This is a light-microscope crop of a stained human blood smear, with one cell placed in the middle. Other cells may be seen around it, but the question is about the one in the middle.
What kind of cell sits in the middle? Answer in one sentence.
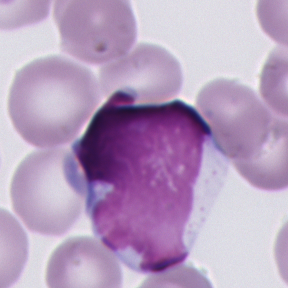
The cell that lies at the centre of the crop is a large granular lymphocyte.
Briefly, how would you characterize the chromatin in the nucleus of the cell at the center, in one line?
No coarse chromatin clumps are present; the pattern is fine.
